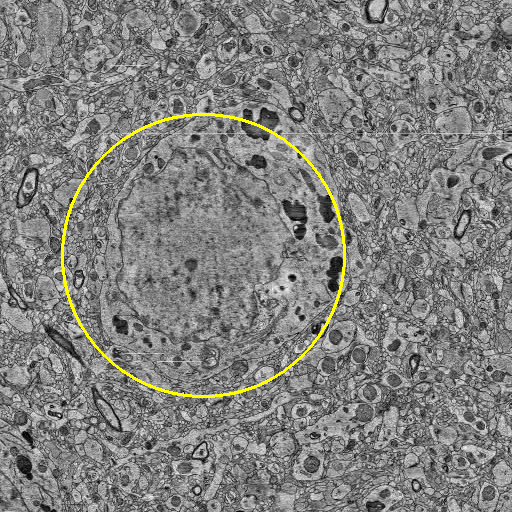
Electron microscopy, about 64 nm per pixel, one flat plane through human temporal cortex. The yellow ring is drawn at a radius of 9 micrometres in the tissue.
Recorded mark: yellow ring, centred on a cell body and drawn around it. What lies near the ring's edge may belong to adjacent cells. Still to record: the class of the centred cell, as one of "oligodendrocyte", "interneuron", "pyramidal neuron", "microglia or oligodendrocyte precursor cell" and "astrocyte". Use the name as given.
interneuron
